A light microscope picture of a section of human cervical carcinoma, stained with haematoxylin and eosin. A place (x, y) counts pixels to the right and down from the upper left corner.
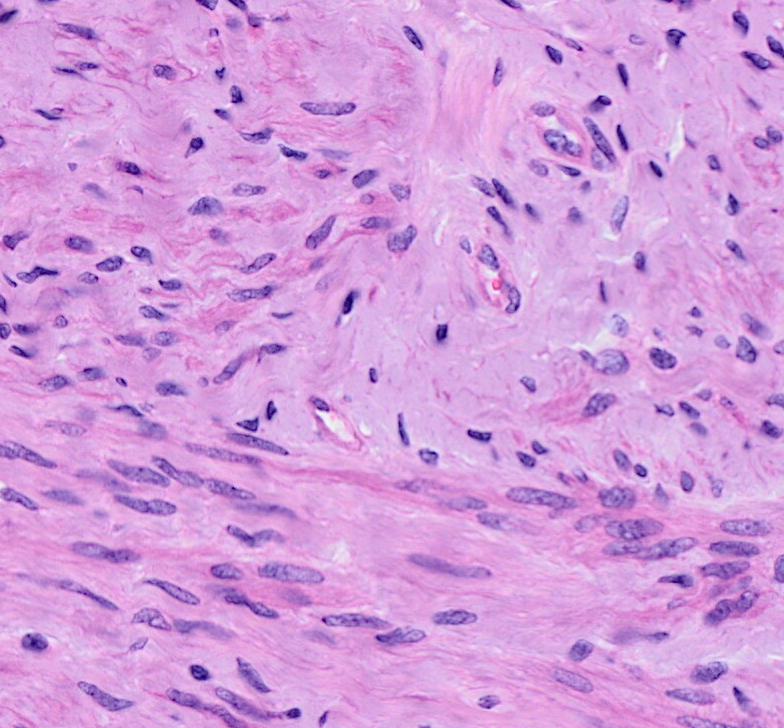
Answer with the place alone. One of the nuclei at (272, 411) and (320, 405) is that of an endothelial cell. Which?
(320, 405)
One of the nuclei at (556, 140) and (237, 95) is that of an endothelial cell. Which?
(556, 140)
